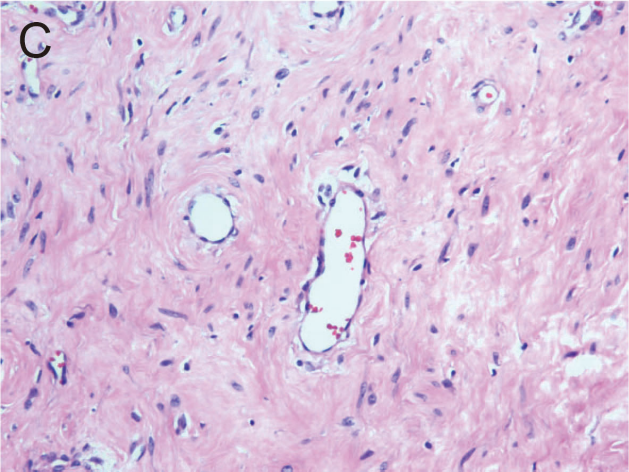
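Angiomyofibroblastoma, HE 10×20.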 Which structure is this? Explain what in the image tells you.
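Abundant pink fibrillar matrix between sparse cells. Scattered thin spindle nuclei lie within the pink matrix. The answer: collagen.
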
